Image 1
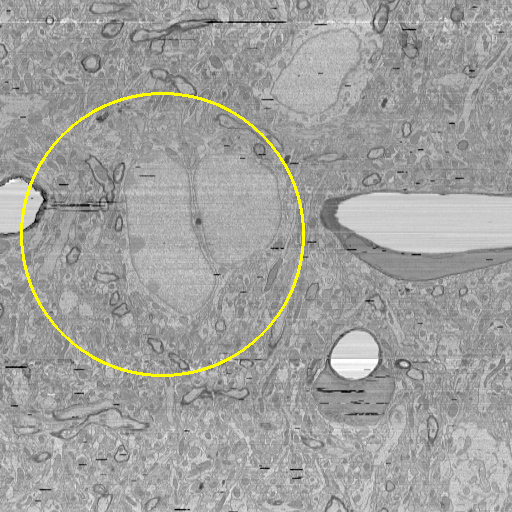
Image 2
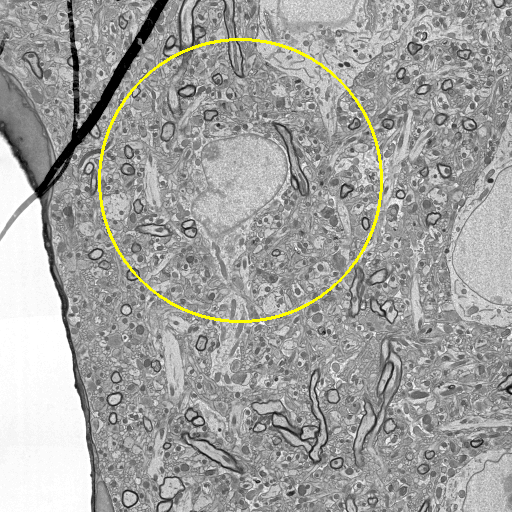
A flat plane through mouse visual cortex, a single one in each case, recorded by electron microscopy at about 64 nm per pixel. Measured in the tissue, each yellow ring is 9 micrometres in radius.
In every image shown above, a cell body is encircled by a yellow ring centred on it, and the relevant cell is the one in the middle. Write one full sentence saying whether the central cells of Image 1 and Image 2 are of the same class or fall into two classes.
The cell at the ring's centre in Image 1 and its counterpart in Image 2 are of the same class.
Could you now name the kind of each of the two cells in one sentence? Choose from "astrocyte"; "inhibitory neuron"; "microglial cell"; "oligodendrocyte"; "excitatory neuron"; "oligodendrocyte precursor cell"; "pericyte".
Each of the two pictures has an astrocyte at the ring centre.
